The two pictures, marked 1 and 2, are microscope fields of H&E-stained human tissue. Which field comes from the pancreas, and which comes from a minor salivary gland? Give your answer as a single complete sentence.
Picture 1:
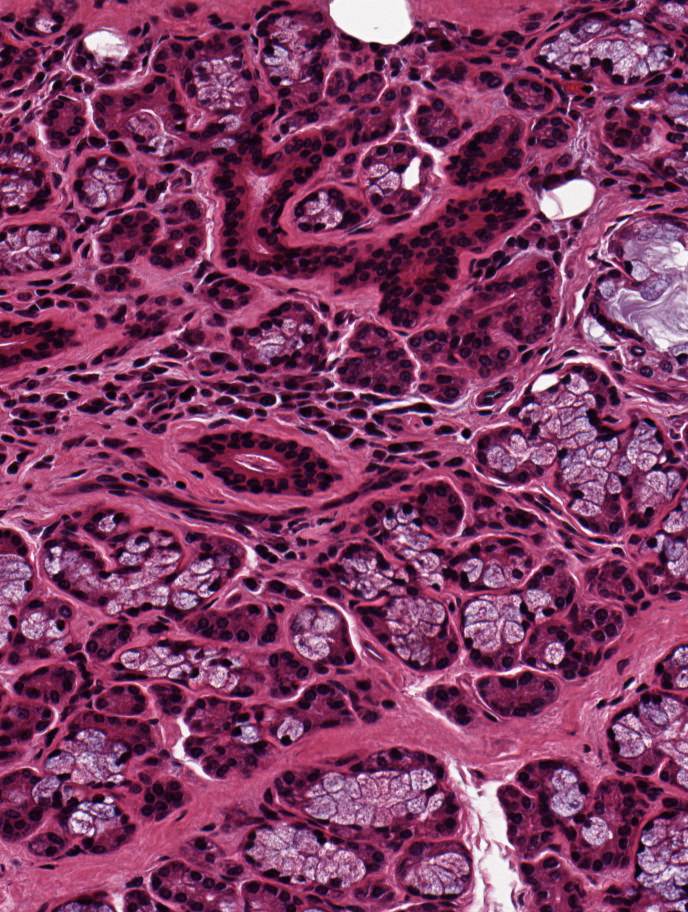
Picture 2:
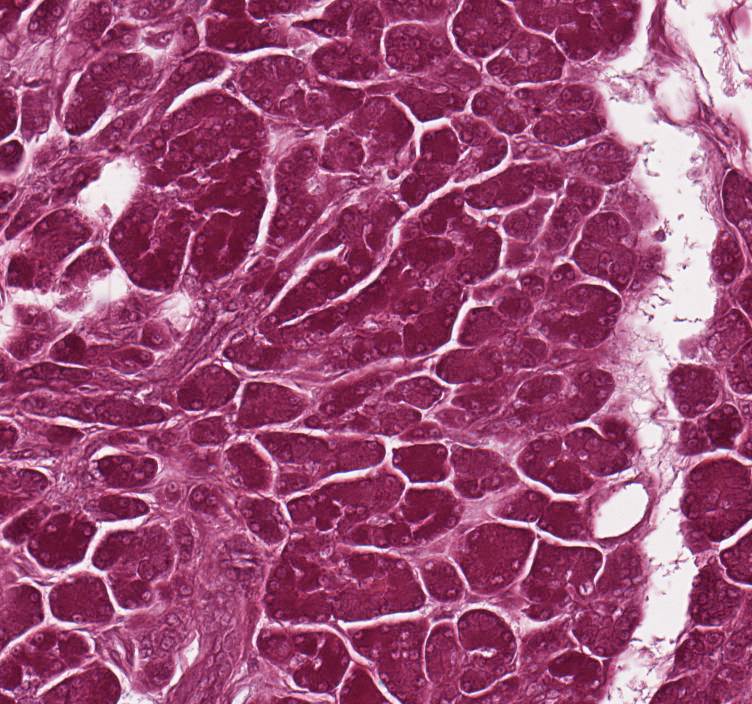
Picture 1 comes from a minor salivary gland; picture 2 comes from the pancreas.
